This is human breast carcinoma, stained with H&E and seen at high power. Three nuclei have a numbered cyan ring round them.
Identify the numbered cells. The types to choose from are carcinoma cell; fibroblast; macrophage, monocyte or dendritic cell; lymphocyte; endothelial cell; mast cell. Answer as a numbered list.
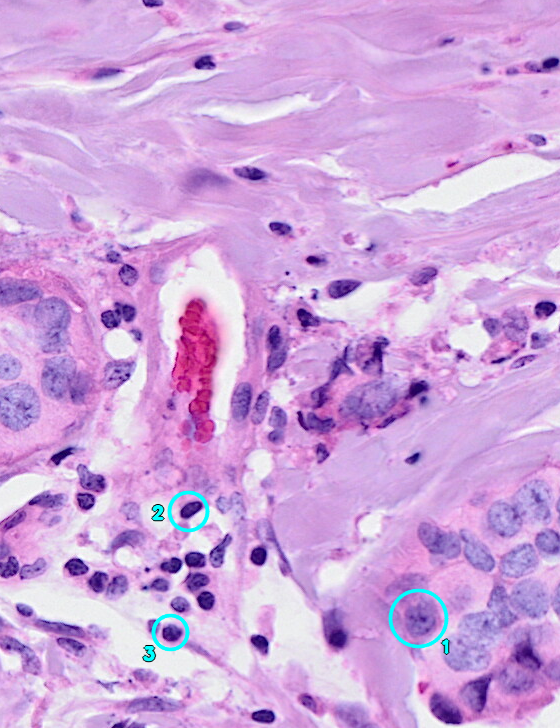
1. carcinoma cell
2. lymphocyte
3. lymphocyte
